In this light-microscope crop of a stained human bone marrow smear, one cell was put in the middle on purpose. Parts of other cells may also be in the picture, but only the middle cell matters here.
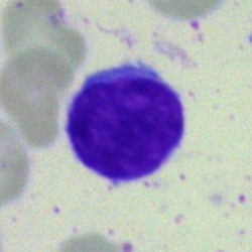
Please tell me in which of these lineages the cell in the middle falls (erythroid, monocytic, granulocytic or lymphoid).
lymphoid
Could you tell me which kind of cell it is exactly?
lymphocyte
